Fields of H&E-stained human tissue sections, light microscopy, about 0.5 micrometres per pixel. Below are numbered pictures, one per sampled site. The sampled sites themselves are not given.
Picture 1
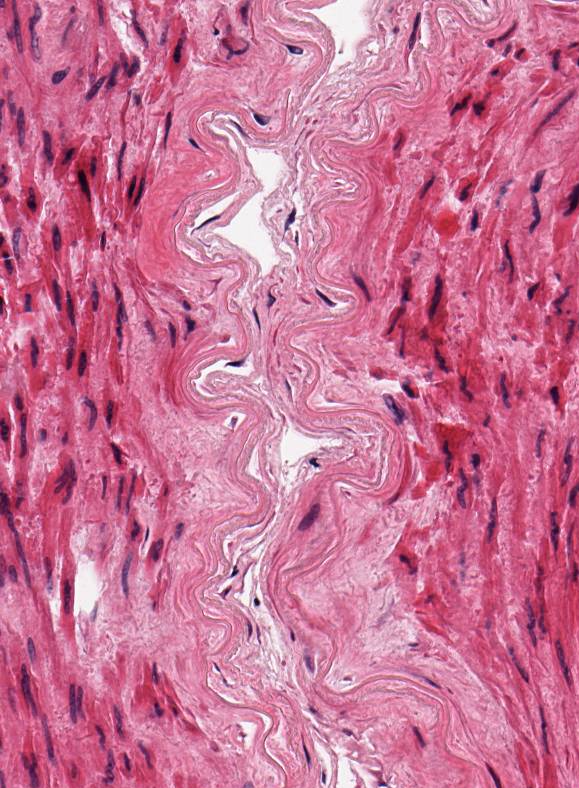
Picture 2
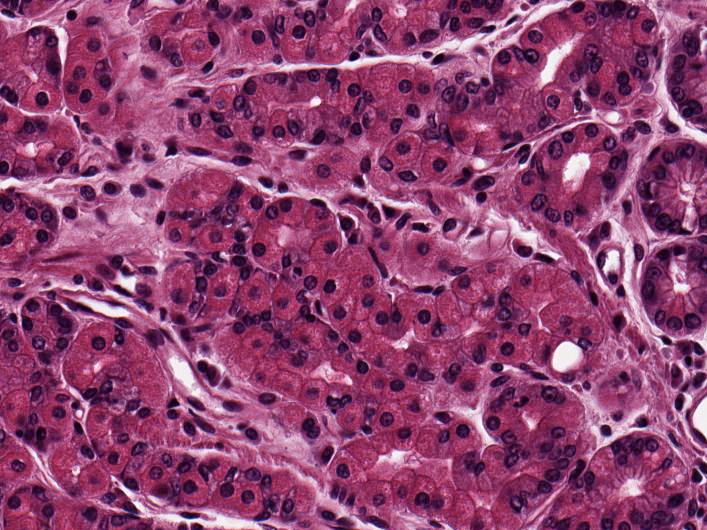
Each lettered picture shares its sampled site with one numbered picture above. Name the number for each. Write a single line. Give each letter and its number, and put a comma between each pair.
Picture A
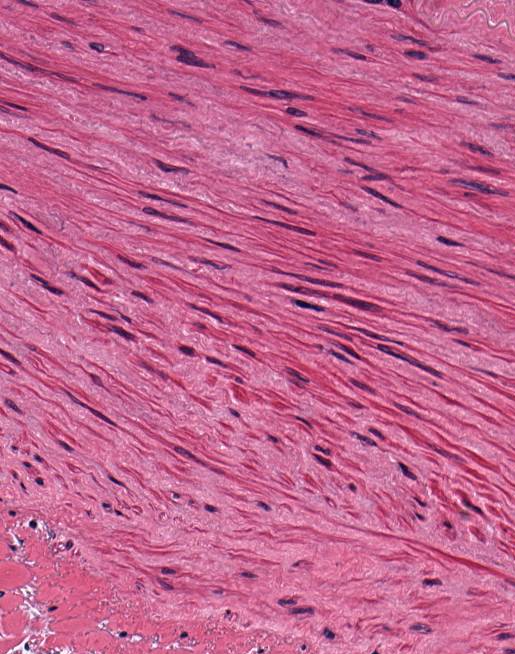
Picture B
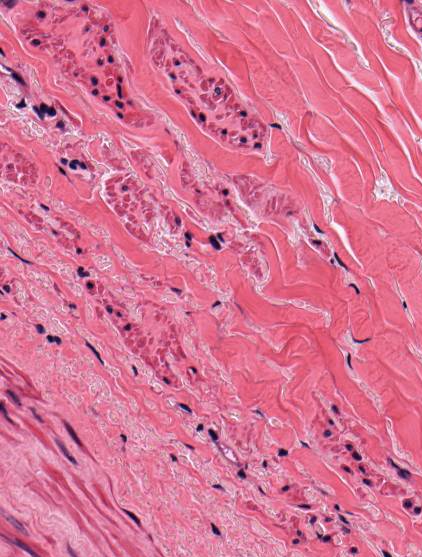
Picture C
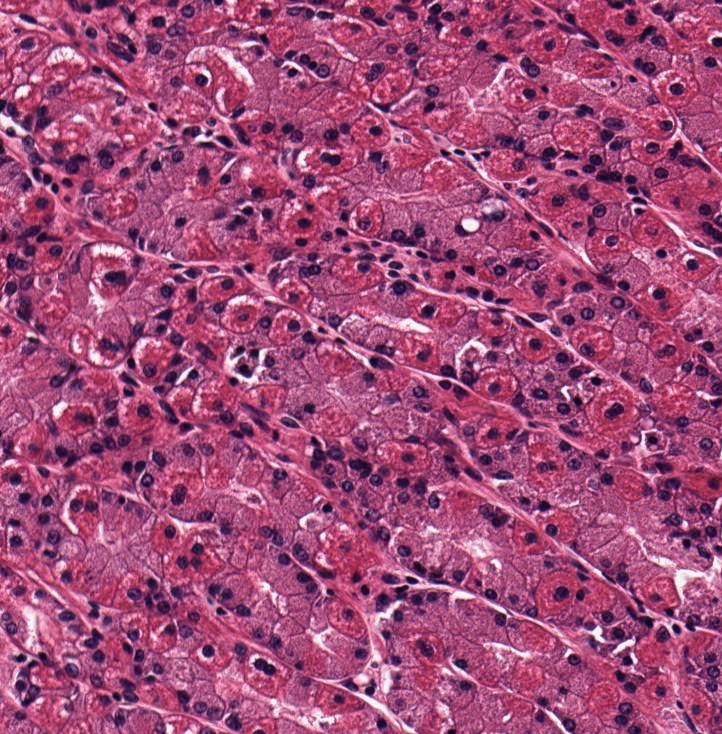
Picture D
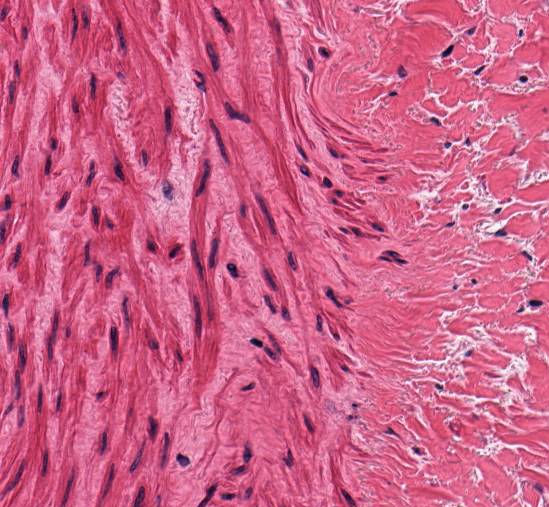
A 1, B 1, C 2, D 1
